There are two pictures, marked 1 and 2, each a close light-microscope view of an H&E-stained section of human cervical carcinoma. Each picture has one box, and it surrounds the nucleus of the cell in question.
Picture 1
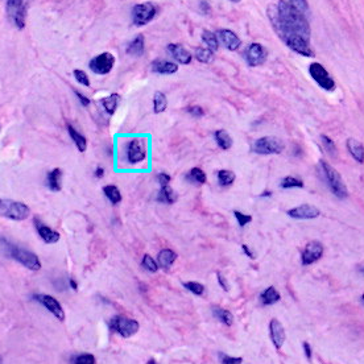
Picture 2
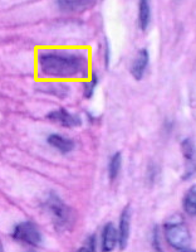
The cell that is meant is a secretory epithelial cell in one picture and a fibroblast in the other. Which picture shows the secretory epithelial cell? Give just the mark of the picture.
2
